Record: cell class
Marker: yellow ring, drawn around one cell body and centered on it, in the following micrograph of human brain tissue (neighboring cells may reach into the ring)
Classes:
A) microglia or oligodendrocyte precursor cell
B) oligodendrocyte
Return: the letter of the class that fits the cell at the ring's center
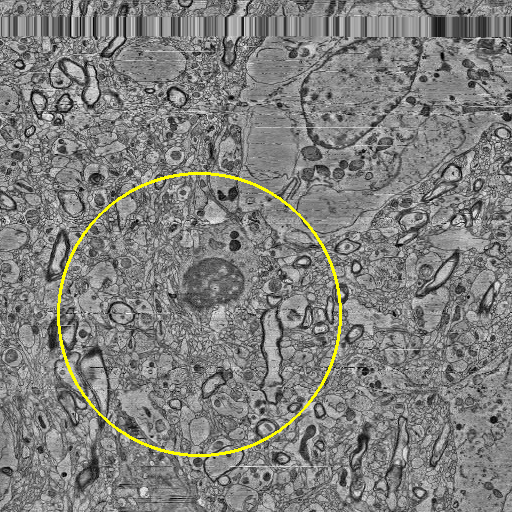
B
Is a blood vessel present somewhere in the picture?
Yes, there is a blood vessel.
